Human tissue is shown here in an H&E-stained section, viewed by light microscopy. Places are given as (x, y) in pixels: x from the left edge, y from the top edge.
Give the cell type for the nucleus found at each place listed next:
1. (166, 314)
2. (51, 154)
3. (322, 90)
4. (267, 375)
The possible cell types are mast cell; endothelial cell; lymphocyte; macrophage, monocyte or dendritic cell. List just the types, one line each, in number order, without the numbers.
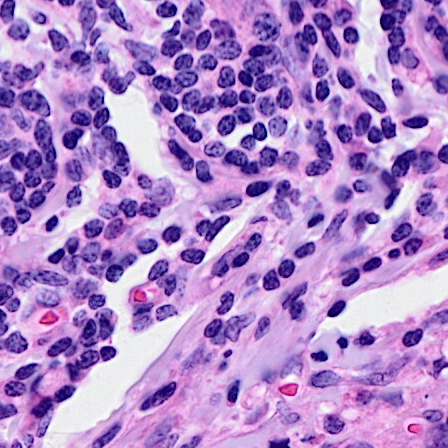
lymphocyte
lymphocyte
lymphocyte
endothelial cell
